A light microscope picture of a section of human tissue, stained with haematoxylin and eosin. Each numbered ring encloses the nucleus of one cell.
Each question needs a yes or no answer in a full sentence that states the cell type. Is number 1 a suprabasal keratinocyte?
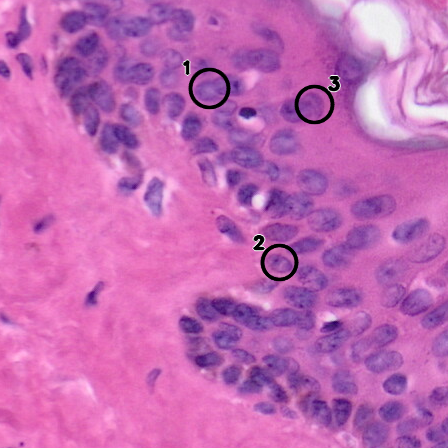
Yes, number 1 is assigned to a cell that is a suprabasal keratinocyte.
